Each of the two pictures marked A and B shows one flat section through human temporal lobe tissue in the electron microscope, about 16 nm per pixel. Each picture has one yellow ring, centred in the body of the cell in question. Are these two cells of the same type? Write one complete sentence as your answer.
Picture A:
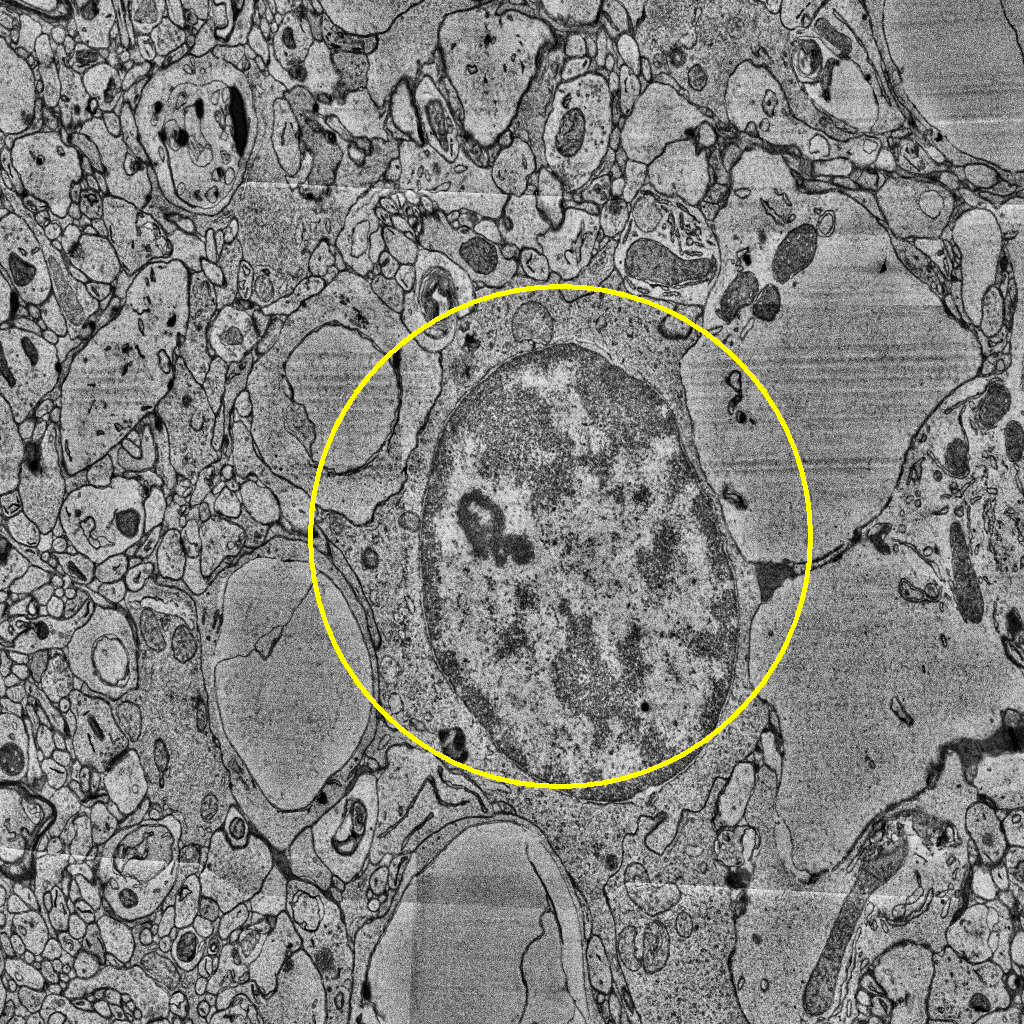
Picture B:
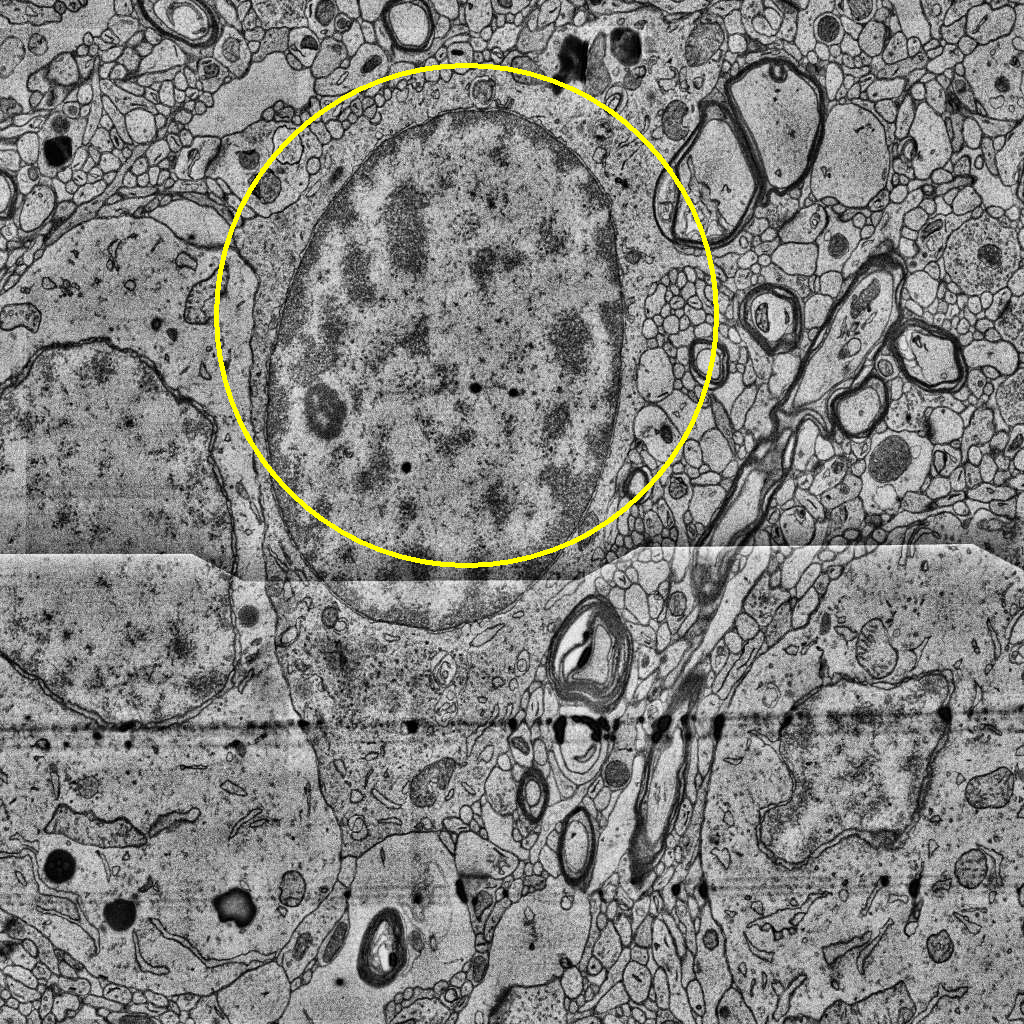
Yes, they are the same type: both are oligodendrocytes.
